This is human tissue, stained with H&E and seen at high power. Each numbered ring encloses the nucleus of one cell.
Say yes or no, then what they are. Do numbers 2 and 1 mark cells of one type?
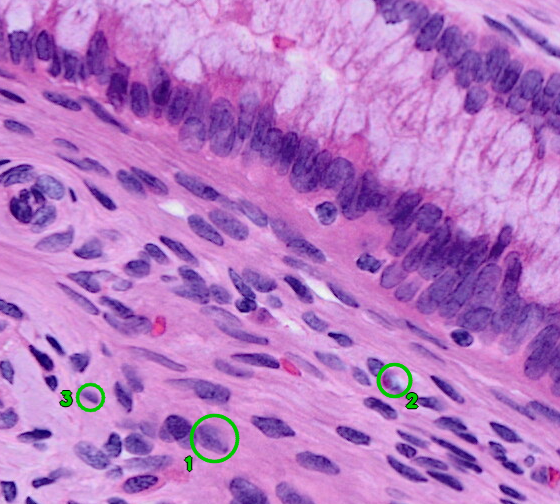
No, cell 2 is an endothelial cell and cell 1 is a fibroblast.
